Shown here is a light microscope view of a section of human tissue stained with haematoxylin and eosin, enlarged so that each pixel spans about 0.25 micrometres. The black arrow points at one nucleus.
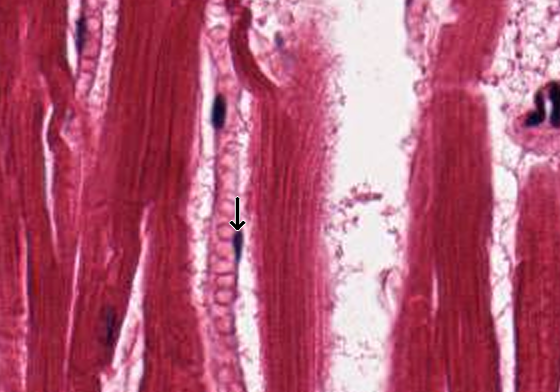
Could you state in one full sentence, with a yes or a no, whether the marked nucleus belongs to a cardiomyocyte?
No, a cardiomyocyte is not the cell of the marked nucleus; a supporting cell is.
